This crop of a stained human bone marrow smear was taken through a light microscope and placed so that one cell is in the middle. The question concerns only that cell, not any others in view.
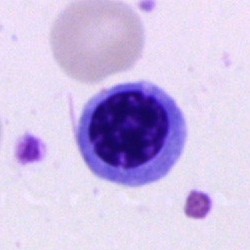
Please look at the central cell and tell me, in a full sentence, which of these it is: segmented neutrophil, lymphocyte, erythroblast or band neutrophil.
At the crop's centre, the cell is an erythroblast.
